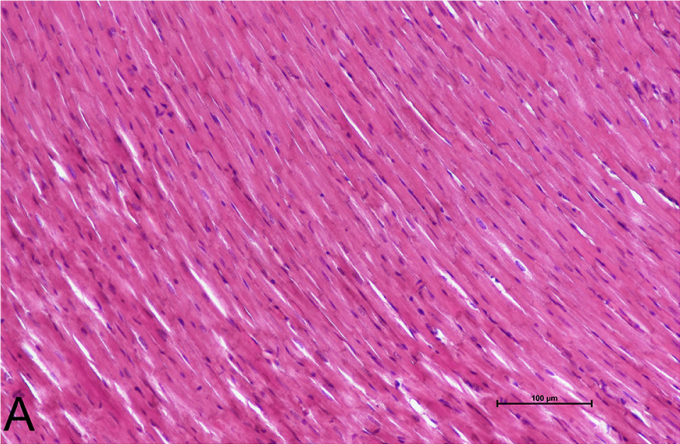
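This is cardiac muscle cut lengthwise, made of parallel, pink-staining, branching muscle fibres with elongated, centrally placed blue-purple nuclei. The fibres run in regular bundles separated by thin clefts, without congested vessels or clusters of inflammatory cells.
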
